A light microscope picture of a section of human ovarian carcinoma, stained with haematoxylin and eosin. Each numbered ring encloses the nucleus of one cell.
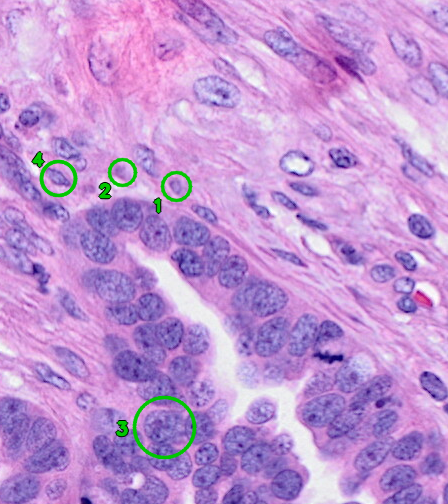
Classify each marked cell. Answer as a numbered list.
1. fibroblast
2. fibroblast
3. carcinoma cell
4. fibroblast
